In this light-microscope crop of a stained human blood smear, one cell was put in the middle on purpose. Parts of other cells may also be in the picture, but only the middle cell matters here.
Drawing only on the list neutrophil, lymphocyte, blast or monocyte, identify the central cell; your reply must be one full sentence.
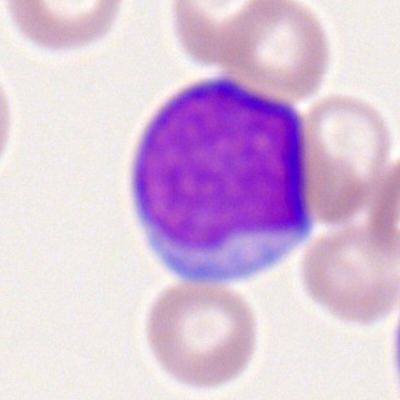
In this smear crop, the middle cell is a blast.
